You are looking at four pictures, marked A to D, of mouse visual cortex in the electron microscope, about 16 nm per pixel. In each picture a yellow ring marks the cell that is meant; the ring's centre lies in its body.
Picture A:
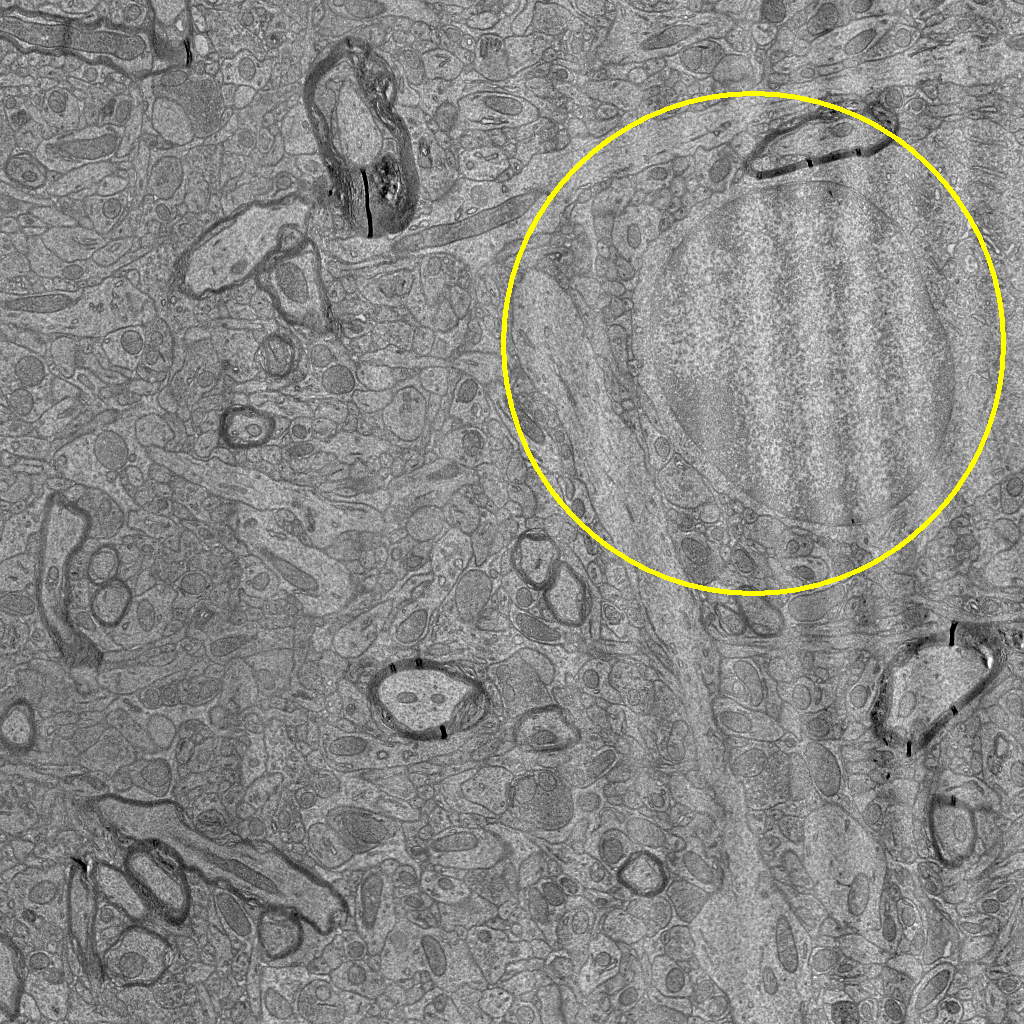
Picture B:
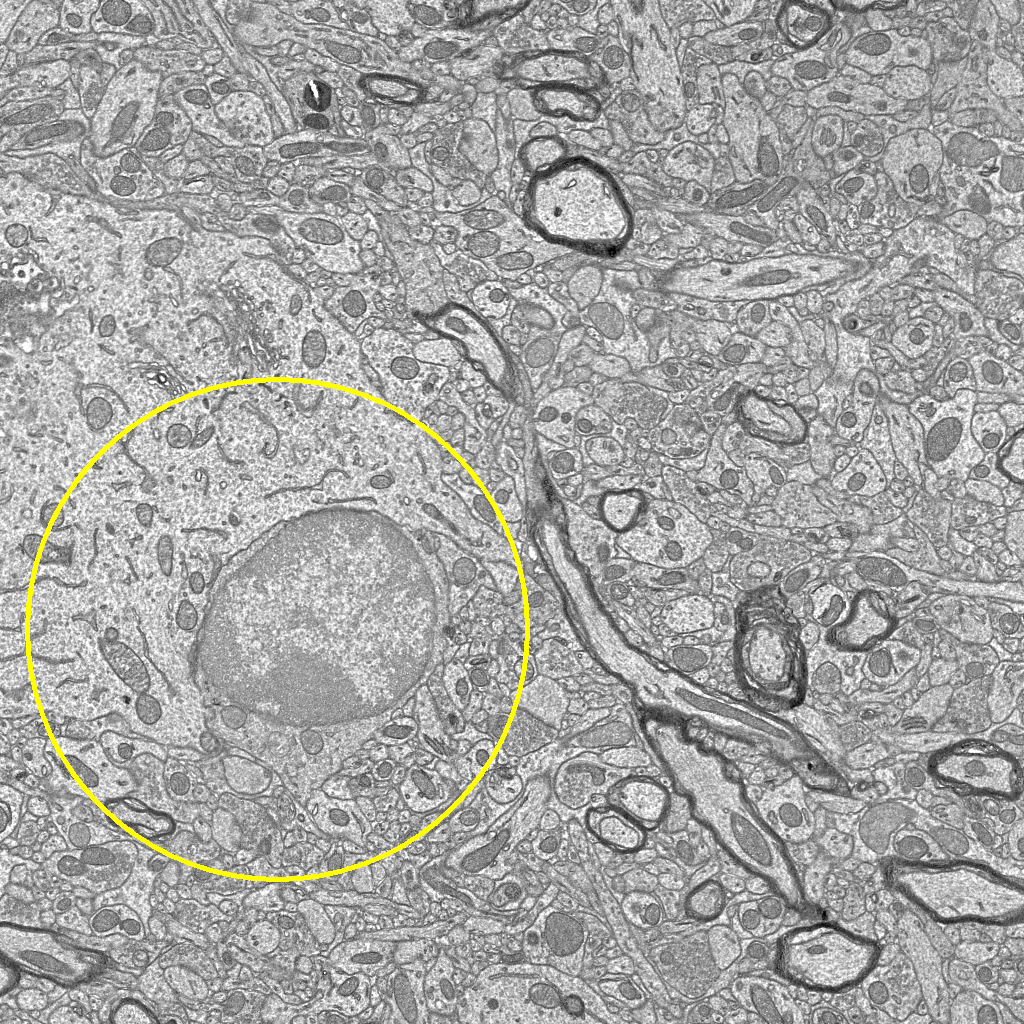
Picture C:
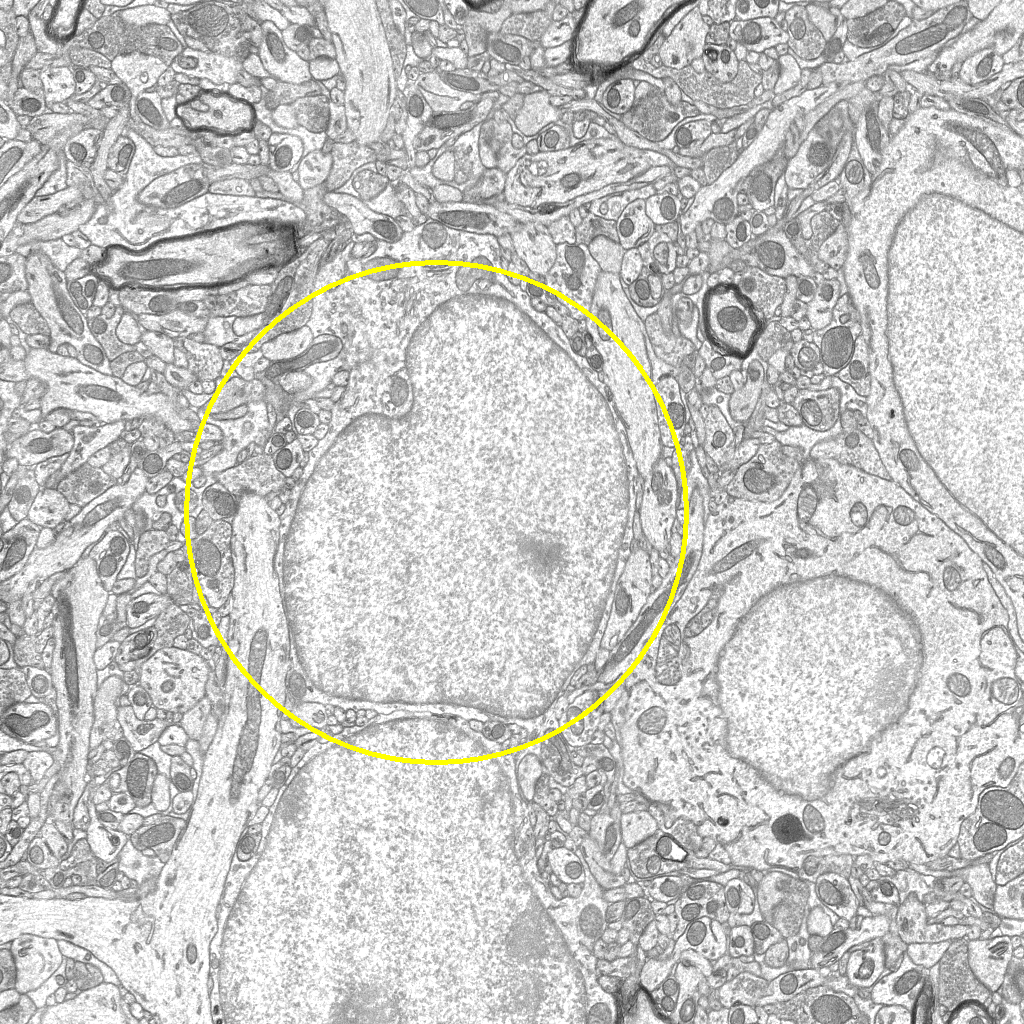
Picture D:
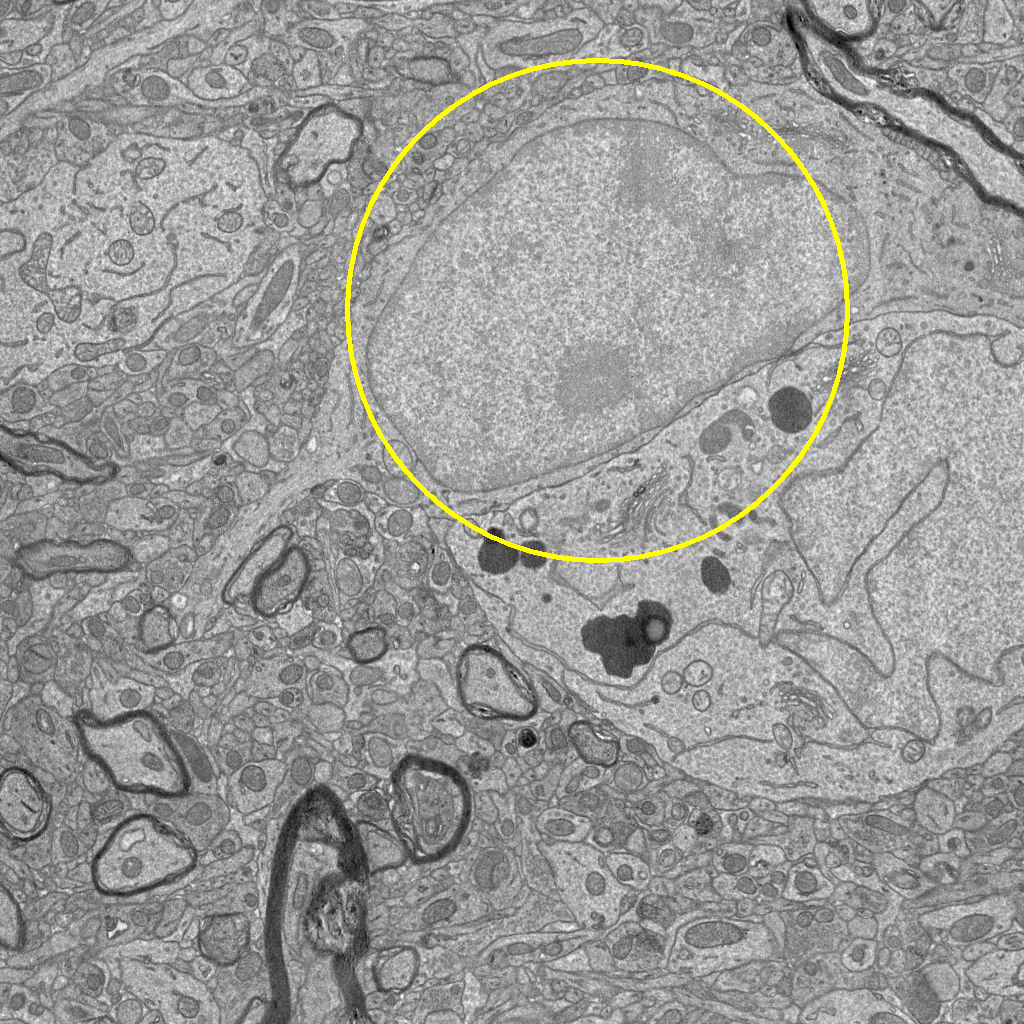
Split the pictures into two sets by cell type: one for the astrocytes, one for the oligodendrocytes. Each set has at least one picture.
Picture C shows an astrocyte, while pictures A, B and D show oligodendrocytes.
